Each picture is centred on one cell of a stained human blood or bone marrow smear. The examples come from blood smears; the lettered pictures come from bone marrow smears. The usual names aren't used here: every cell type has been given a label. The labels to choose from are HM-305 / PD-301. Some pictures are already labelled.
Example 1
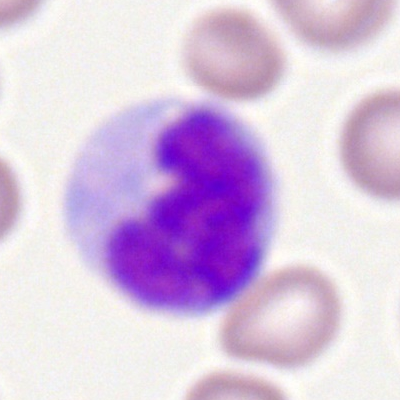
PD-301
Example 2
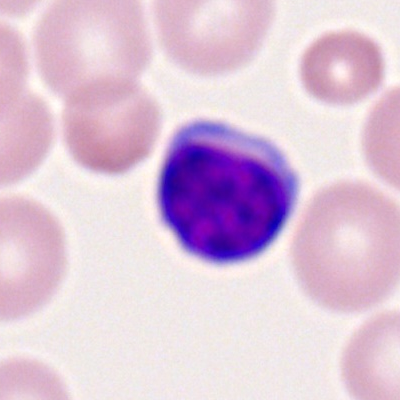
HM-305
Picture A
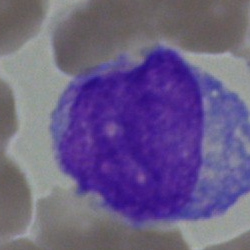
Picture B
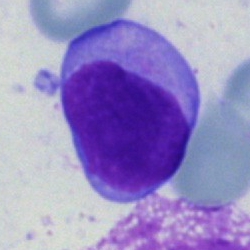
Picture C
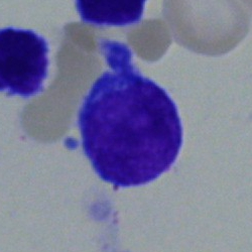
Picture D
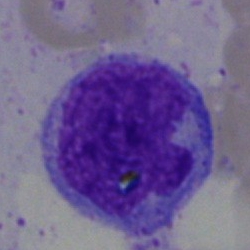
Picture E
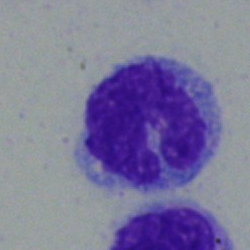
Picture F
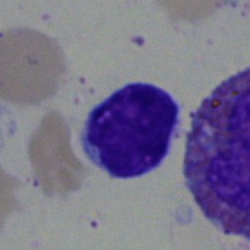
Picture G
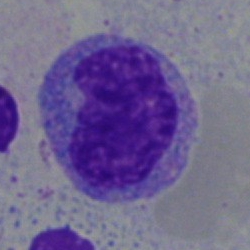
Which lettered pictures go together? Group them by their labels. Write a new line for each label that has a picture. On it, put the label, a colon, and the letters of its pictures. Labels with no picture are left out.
HM-305: B, C, F
PD-301: A, D, E, G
